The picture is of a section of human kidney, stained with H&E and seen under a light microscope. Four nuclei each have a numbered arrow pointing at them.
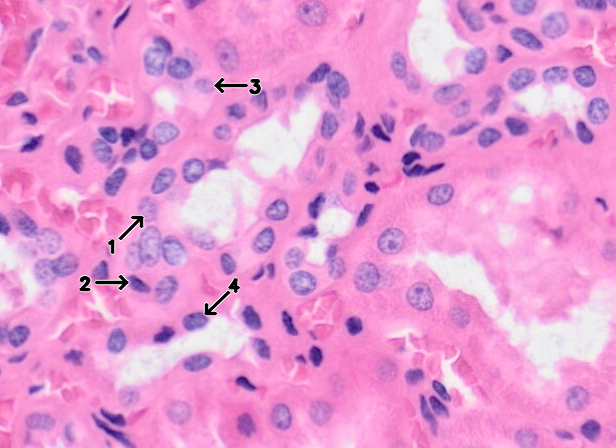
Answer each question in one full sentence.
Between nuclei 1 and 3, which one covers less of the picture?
Nucleus 3 is the smaller one; nucleus 1 covers about 1.5 times its area.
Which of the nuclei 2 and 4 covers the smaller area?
Nucleus 2 is the smaller one; nucleus 4 covers about 1.5 times its area.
